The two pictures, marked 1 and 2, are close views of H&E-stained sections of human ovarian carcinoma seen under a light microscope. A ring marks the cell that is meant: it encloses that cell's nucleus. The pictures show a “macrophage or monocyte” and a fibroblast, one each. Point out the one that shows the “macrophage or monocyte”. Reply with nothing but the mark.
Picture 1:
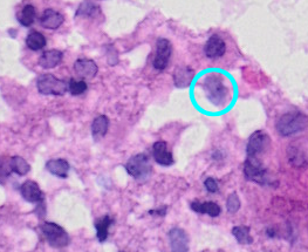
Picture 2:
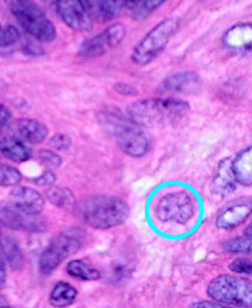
1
